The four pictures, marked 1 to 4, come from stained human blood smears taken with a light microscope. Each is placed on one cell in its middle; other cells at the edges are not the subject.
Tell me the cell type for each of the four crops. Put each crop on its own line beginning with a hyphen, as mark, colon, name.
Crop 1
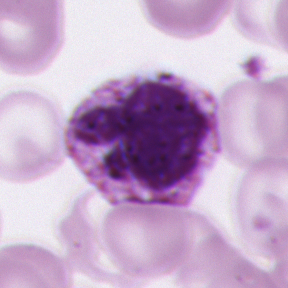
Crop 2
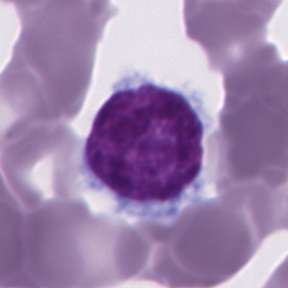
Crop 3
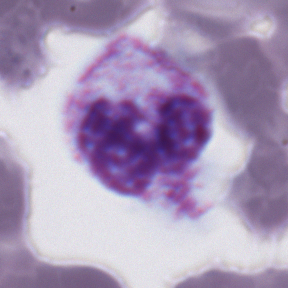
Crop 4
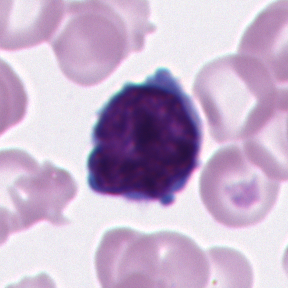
- 1: basophil
- 2: hairy cell
- 3: segmented neutrophil
- 4: typical lymphocyte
